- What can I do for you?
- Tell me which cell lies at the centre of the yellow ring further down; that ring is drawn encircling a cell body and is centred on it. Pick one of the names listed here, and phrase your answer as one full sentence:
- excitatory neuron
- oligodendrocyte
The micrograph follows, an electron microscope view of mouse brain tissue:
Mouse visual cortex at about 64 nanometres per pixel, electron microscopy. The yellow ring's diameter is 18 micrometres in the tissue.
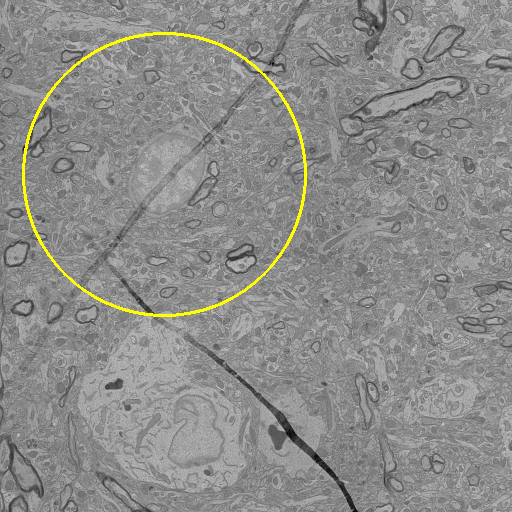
The cell whose body lies at the centre of the yellow ring is an oligodendrocyte.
